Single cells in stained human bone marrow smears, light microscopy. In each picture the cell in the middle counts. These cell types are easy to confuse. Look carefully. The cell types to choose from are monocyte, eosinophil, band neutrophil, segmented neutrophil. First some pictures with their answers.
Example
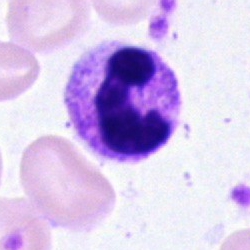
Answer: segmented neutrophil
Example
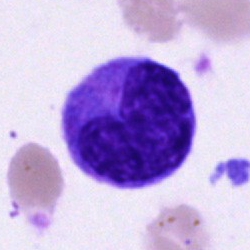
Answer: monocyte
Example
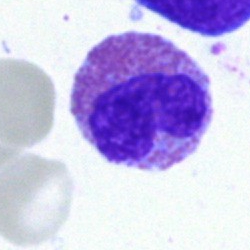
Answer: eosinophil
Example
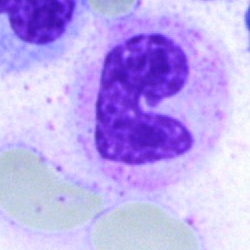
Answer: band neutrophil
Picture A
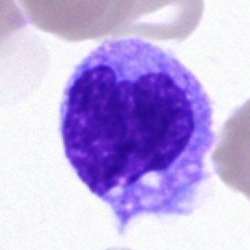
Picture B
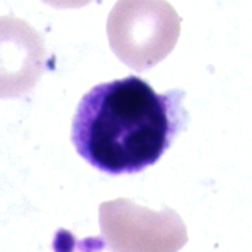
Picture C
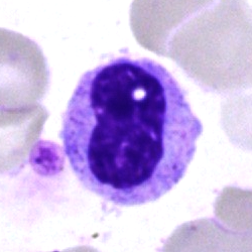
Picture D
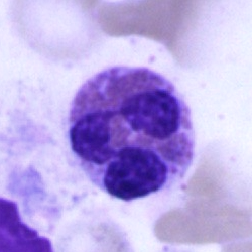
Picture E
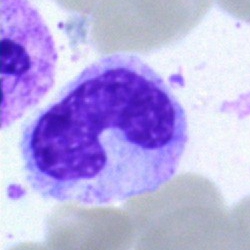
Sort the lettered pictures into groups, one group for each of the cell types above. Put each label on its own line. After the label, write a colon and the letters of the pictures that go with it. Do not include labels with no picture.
monocyte: A
eosinophil: D
band neutrophil: C, E
segmented neutrophil: B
